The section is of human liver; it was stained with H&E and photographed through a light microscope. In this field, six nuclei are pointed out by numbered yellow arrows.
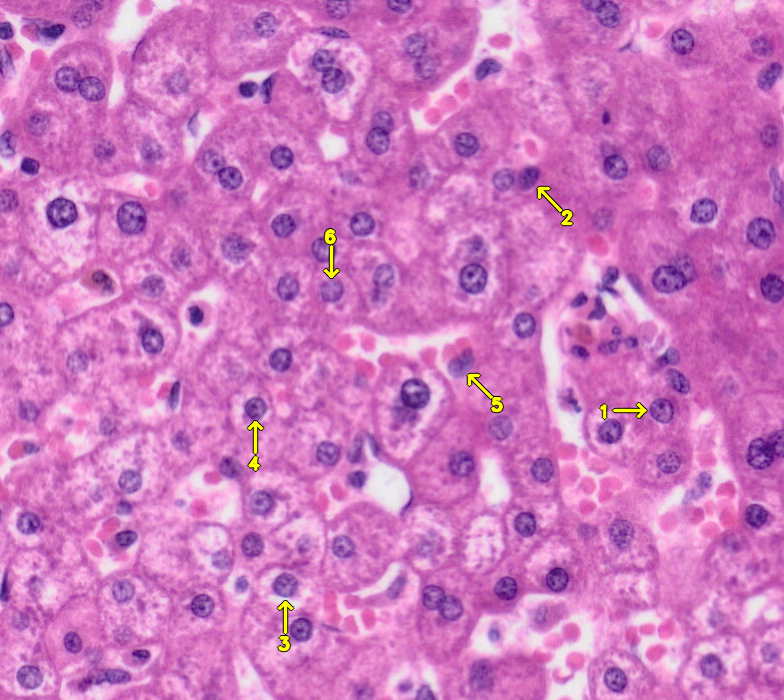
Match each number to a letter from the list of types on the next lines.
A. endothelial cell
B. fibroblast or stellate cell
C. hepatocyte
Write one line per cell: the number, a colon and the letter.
1: C
2: B
3: C
4: C
5: A
6: C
